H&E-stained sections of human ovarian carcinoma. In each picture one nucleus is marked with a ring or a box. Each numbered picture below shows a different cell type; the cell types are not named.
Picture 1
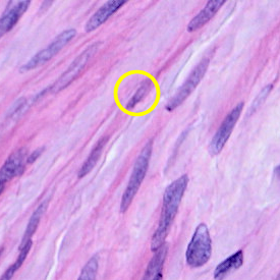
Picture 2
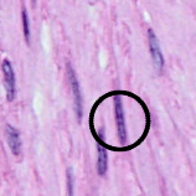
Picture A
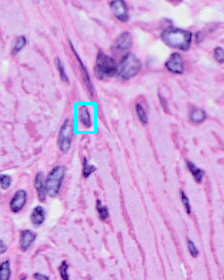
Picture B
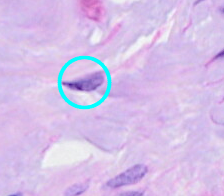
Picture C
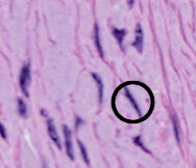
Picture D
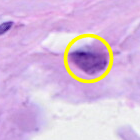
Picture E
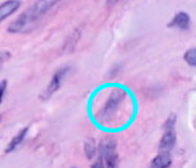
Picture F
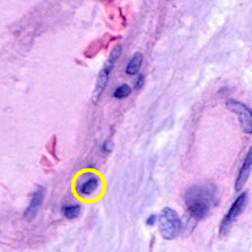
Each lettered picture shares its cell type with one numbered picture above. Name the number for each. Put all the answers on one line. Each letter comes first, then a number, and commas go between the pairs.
A 2, B 2, C 2, D 2, E 1, F 1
